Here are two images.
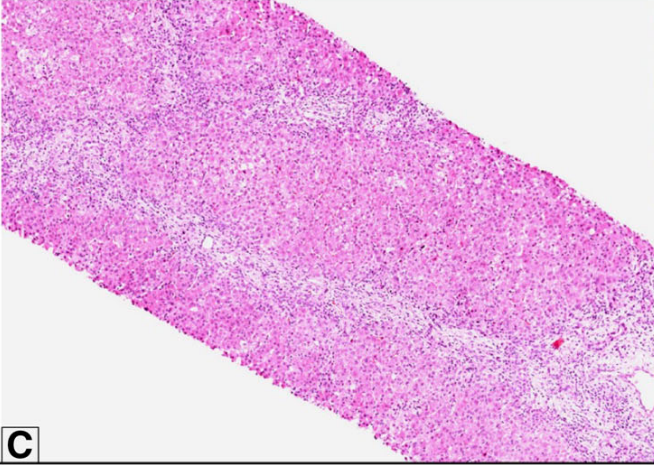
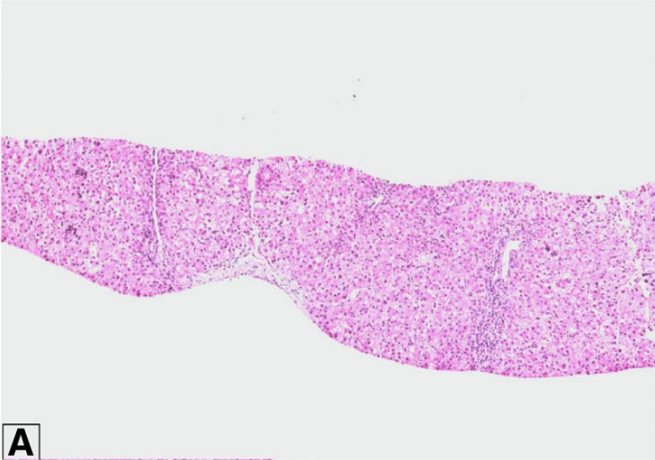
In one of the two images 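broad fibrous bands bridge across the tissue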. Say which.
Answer: The first image.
